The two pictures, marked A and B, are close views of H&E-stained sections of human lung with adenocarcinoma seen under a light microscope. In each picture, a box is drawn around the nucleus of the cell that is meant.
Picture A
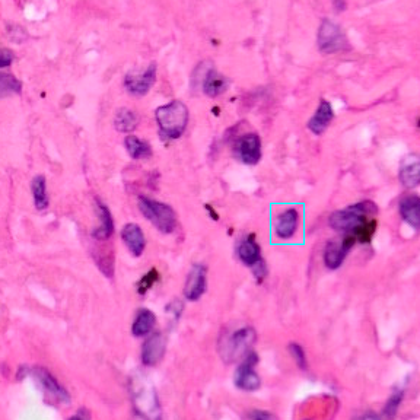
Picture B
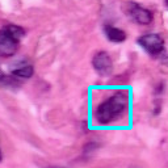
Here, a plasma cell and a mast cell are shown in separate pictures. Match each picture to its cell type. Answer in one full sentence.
Picture A is of a mast cell, and picture B is of a plasma cell.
